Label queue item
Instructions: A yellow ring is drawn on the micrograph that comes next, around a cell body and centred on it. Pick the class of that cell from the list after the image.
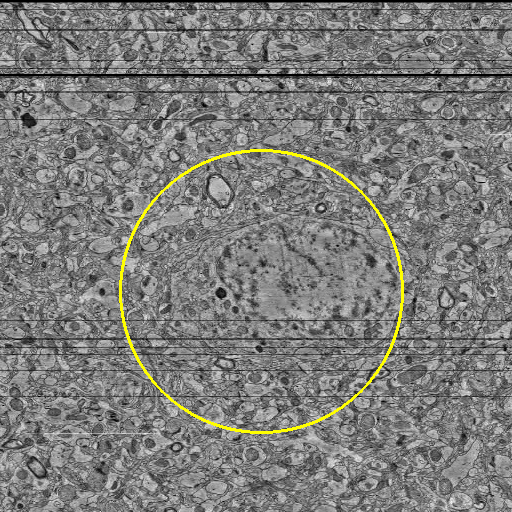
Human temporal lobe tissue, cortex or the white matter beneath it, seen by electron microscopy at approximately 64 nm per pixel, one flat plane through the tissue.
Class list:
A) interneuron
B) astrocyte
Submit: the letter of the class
A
